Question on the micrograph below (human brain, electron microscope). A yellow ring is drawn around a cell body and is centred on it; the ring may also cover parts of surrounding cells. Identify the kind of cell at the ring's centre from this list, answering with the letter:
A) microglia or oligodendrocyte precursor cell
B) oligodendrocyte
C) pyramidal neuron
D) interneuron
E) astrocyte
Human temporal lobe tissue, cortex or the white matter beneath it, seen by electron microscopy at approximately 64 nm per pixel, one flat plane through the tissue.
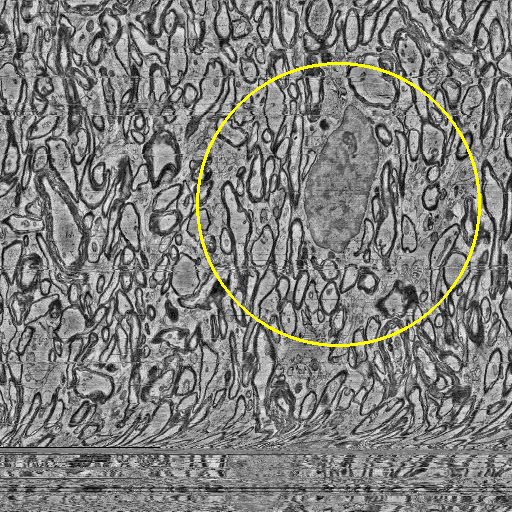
B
